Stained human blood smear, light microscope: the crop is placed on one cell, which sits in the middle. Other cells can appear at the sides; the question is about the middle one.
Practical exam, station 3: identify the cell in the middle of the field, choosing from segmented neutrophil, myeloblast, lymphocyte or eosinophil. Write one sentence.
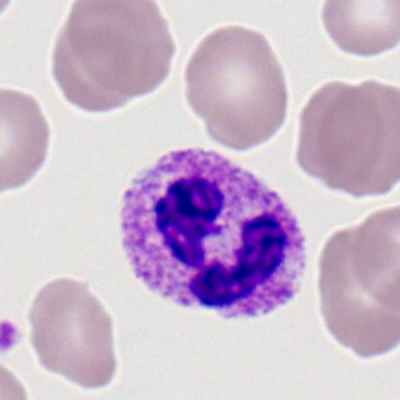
This crop is built around a segmented neutrophil at its centre.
